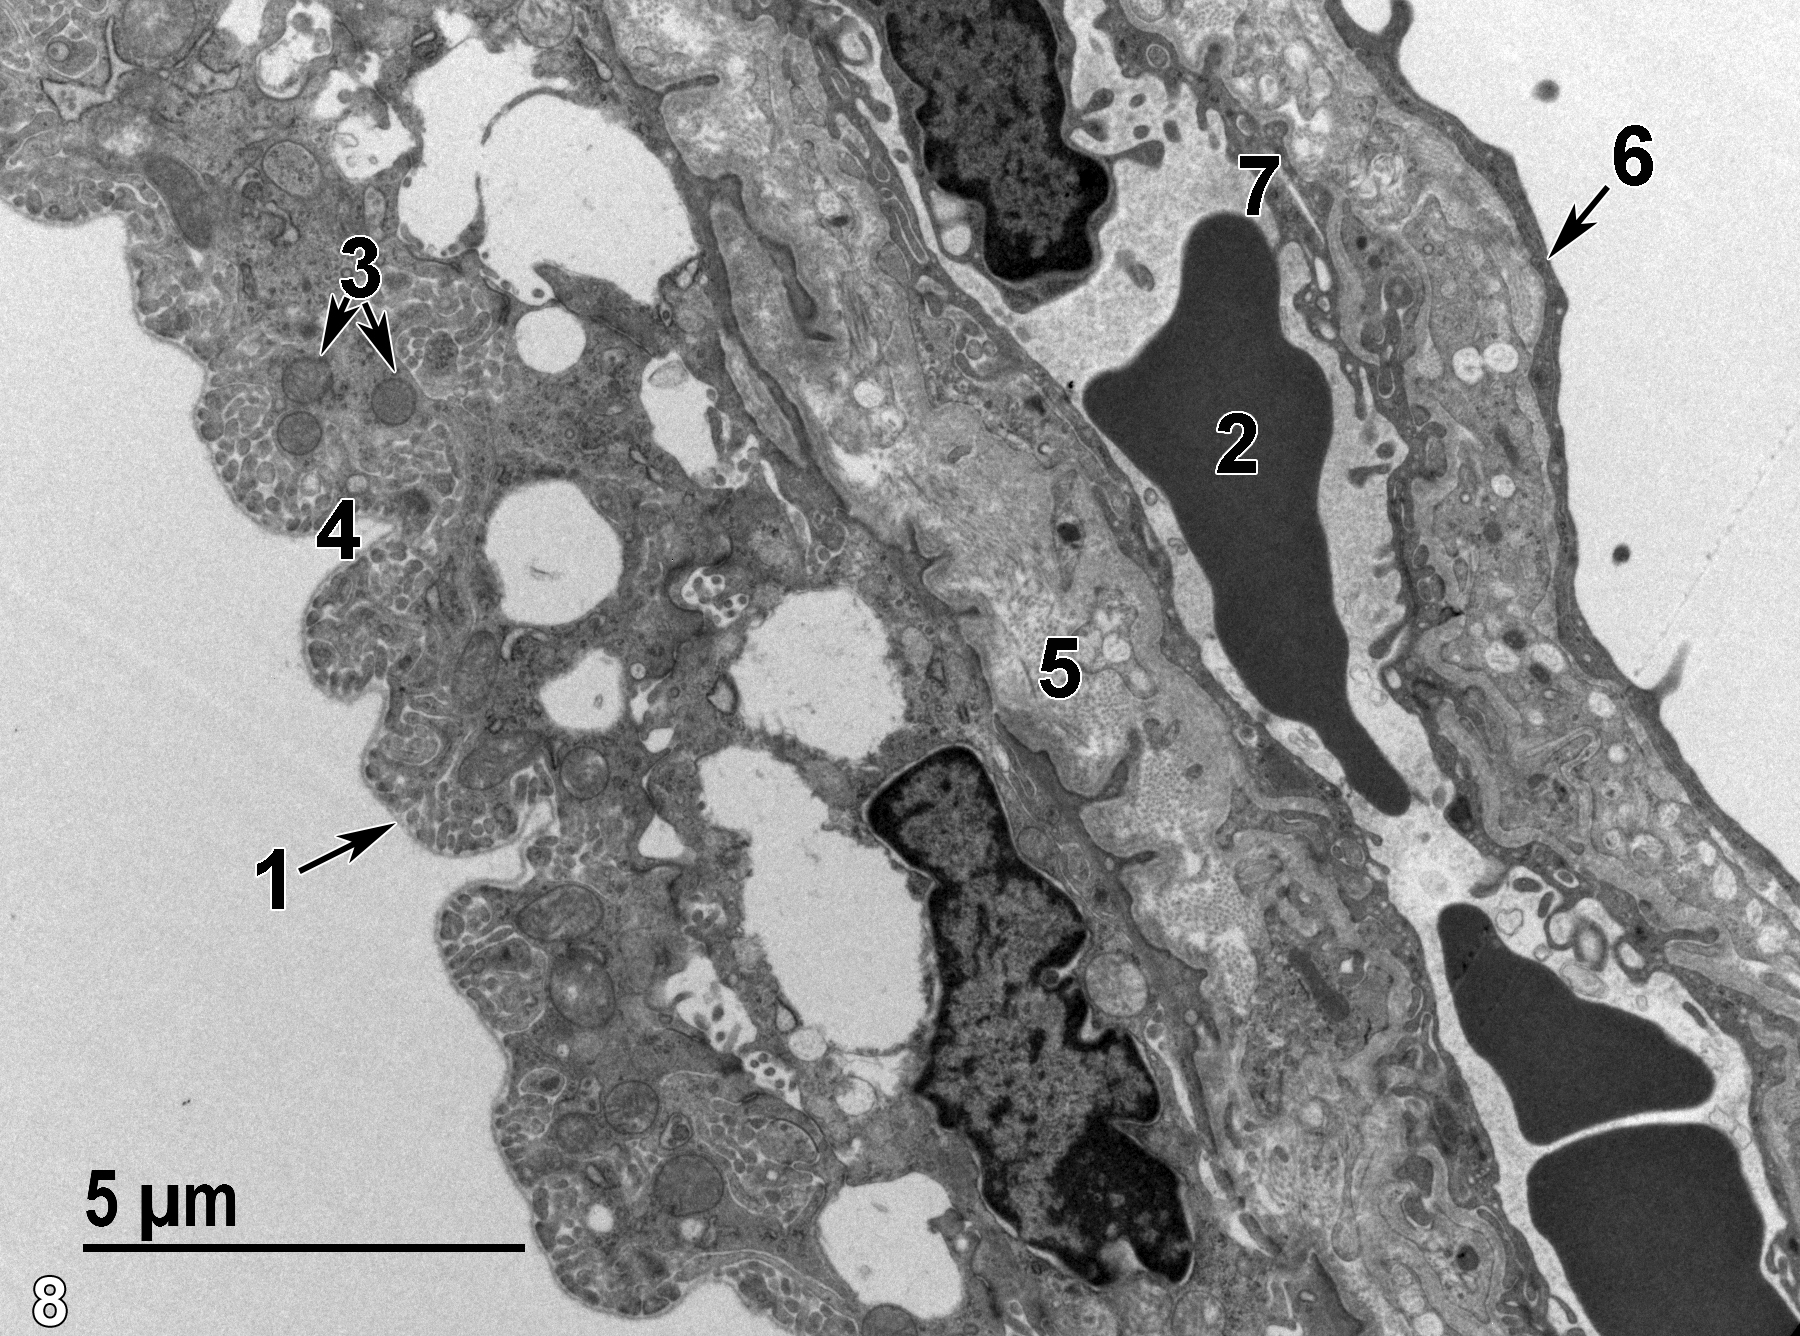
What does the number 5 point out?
Ciliary stroma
